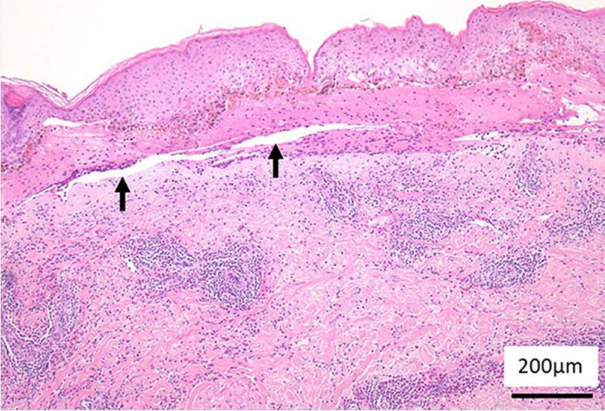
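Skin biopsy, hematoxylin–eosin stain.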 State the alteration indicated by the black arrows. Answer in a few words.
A: Subepidermal rip.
